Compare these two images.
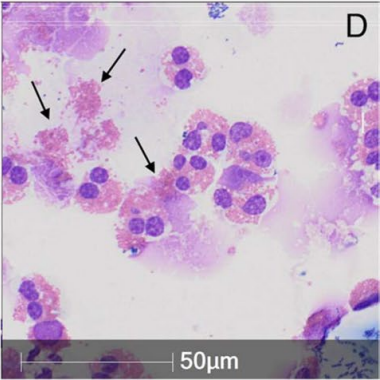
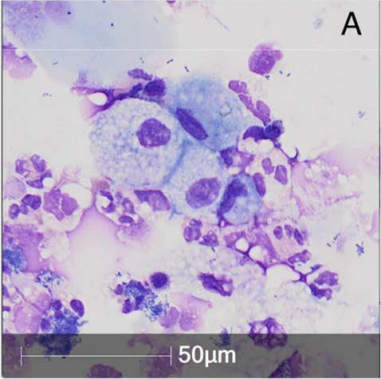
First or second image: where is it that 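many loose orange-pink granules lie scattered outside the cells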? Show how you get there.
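First image: numerous patches of orange-pink granules spread freely between the cells. Second image: no loose orange-pink granules; the field holds large pale blue cells and cells with lobed nuclei. The answer: the first image.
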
